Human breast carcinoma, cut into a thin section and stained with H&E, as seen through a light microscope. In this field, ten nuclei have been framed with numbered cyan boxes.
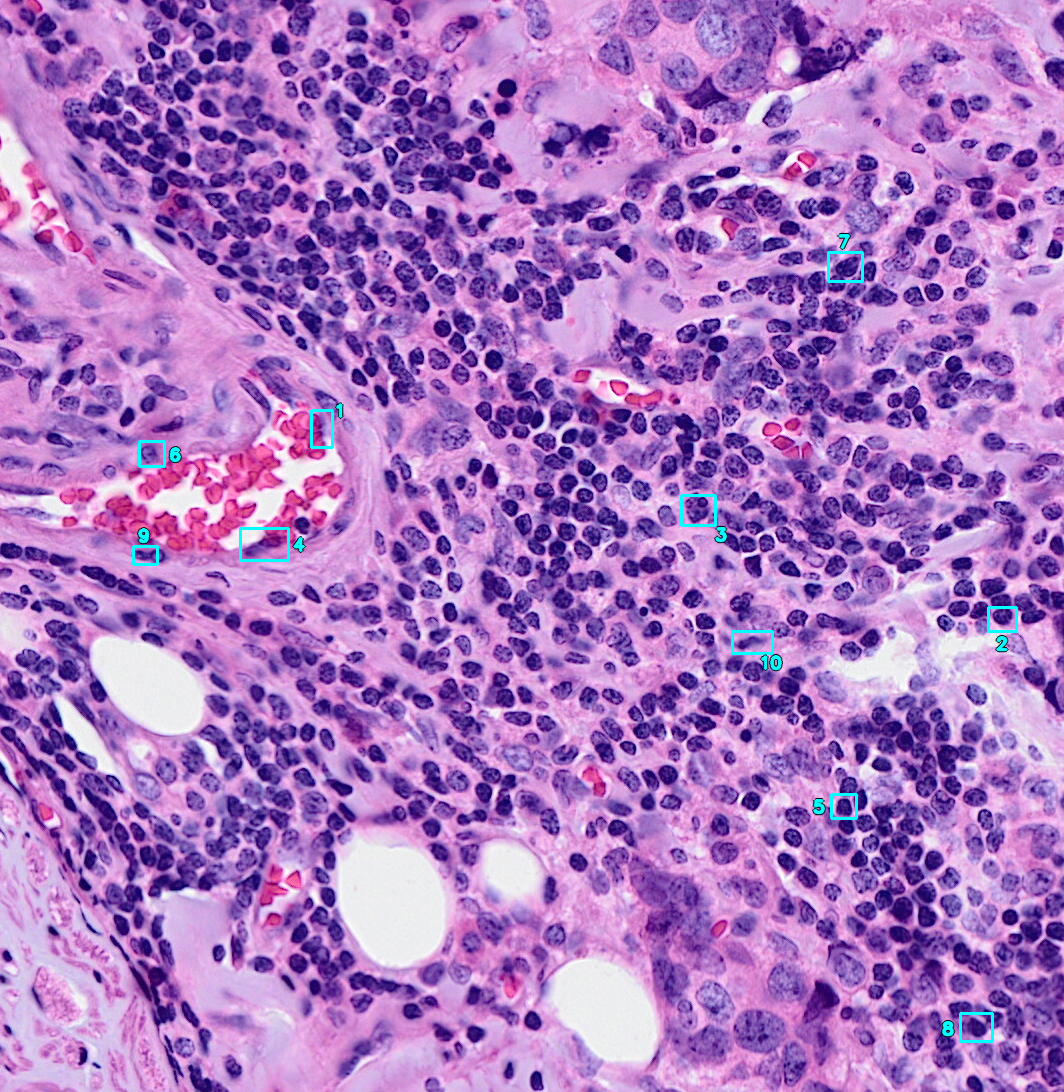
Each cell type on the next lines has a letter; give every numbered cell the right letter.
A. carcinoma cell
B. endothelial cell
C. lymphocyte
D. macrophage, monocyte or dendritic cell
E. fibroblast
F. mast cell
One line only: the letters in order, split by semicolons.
B; C; C; B; C; B; C; C; B; C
